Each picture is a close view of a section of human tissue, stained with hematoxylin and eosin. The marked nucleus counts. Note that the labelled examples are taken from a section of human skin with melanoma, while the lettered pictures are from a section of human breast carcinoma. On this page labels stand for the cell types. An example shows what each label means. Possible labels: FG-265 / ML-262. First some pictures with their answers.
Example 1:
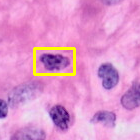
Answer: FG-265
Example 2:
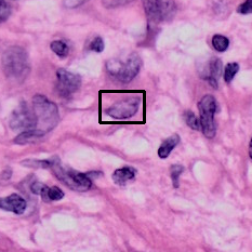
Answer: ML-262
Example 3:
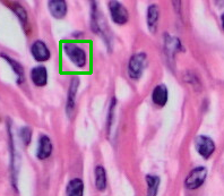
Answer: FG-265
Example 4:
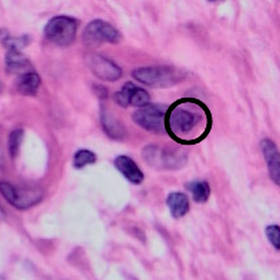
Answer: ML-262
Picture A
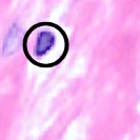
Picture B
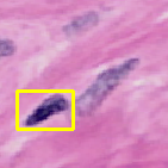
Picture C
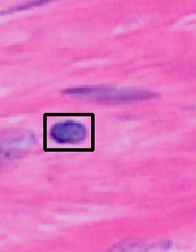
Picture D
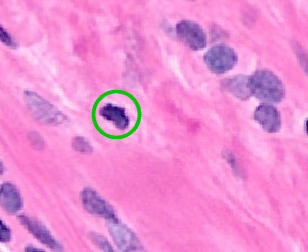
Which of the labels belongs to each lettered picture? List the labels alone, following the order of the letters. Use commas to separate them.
FG-265, FG-265, FG-265, FG-265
